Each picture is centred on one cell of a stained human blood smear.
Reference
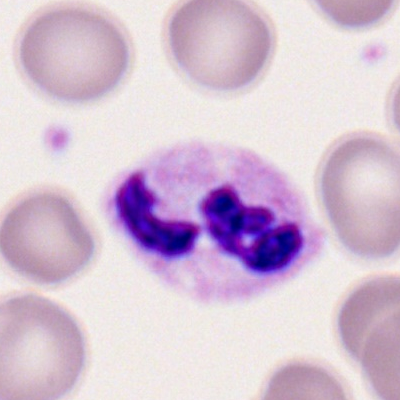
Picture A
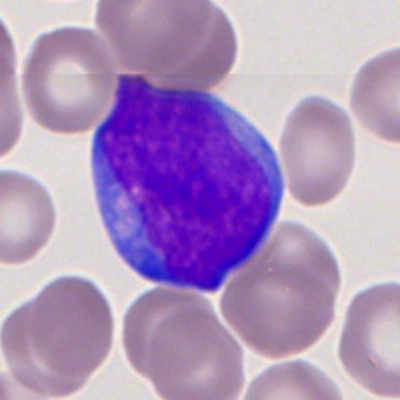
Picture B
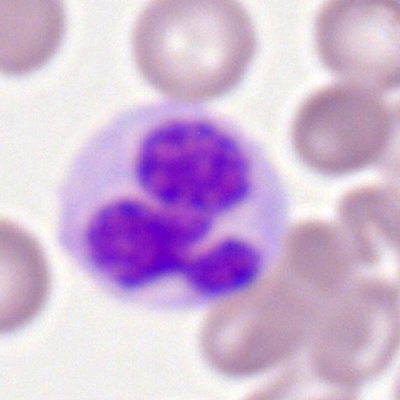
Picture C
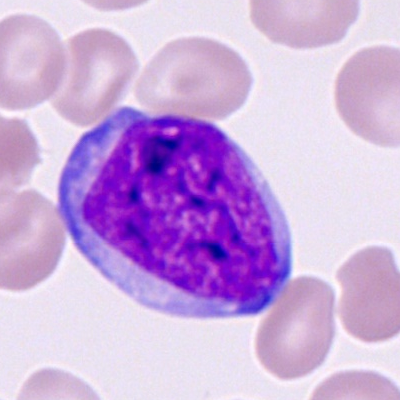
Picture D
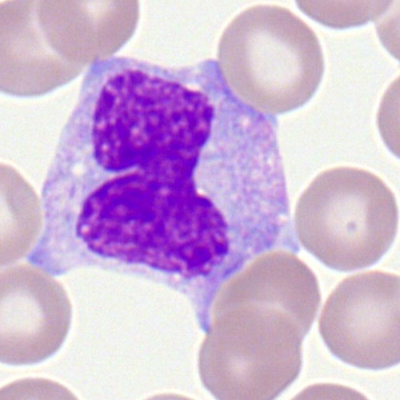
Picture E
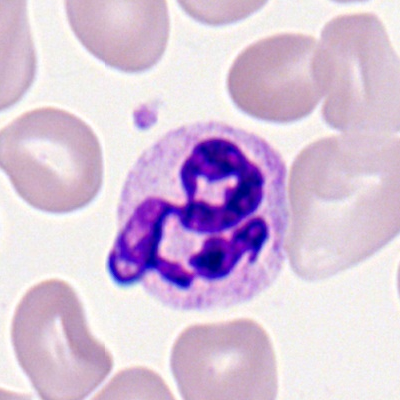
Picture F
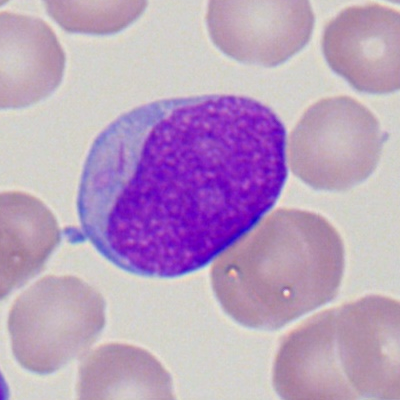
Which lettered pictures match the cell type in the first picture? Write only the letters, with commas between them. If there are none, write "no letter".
E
